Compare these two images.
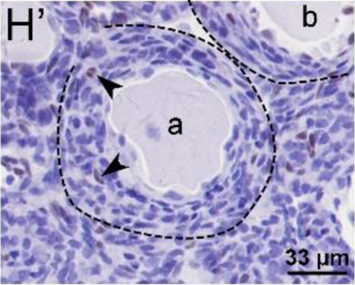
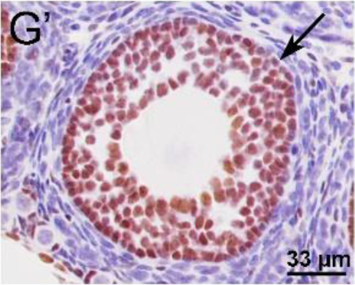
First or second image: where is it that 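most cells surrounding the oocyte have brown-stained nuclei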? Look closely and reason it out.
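First image: the cell layers around the oocyte space have blue nuclei, with only scattered faint brown ones. Second image: nearly all cells of the thick layer around the oocyte space have dark brown nuclei. That points to this answer: the second image.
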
